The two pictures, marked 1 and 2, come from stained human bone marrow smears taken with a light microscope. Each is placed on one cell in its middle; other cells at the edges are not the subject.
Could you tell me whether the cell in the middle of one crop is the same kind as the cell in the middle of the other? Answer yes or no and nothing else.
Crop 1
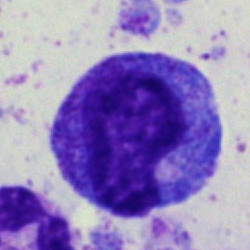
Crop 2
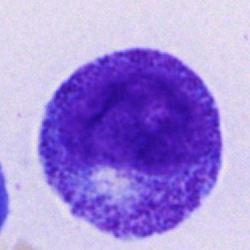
yes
